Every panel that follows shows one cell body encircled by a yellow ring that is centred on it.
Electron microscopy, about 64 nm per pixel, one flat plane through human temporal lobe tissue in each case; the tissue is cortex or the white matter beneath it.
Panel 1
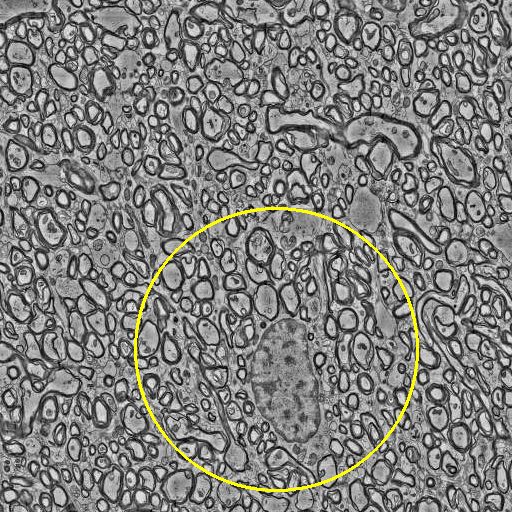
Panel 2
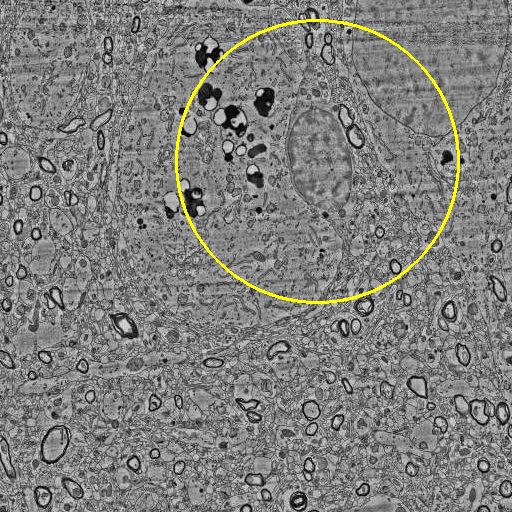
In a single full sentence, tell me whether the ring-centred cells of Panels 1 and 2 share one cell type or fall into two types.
In Panel 1 and Panel 2, the cells at the ring centres share one cell type.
